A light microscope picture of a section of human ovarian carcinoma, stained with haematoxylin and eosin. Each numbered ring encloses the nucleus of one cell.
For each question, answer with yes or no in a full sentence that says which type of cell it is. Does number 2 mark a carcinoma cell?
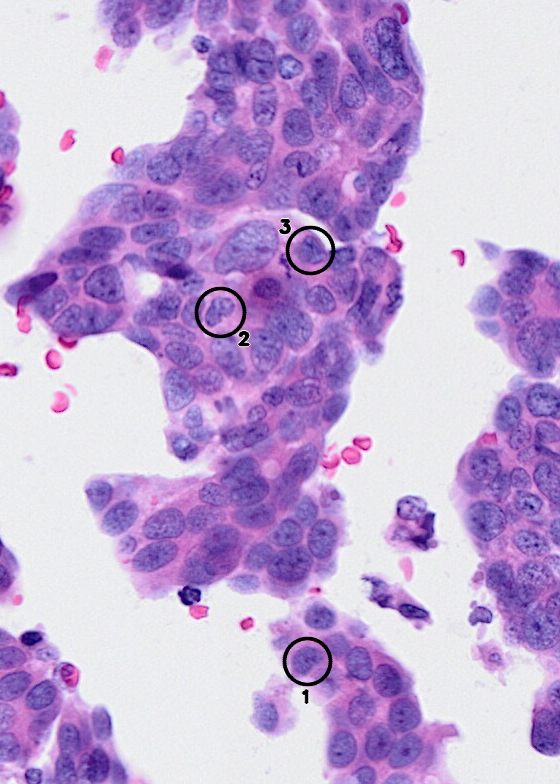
No, the cell identified by number 2 is a macrophage or monocyte, not a carcinoma cell.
